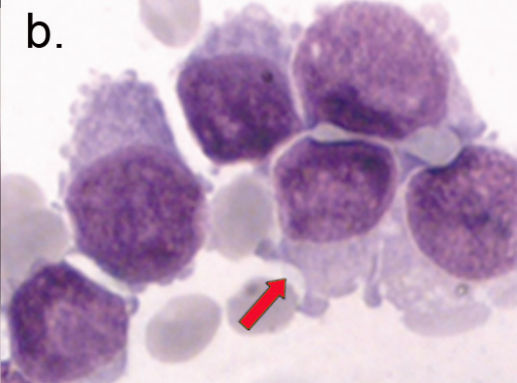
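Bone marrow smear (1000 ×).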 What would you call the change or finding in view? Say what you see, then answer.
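The cytoplasm of the large cells bulges into irregular bleb-like projections. Projections are pale and extend beyond the cell outline.
Answer: distinct pseudopod formation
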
